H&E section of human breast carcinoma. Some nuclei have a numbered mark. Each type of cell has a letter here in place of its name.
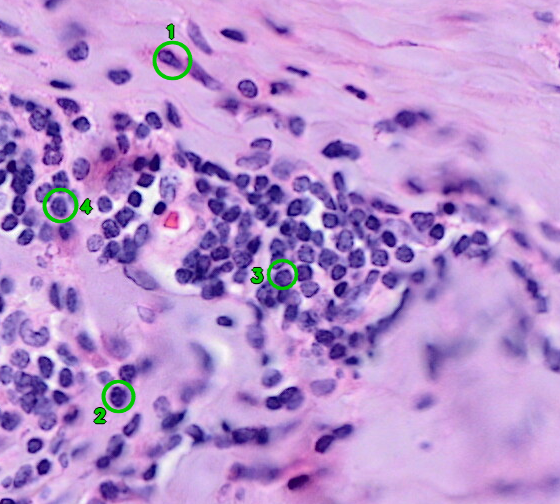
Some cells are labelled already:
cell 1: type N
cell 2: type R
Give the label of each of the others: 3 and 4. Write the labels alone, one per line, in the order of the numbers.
type R
type R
